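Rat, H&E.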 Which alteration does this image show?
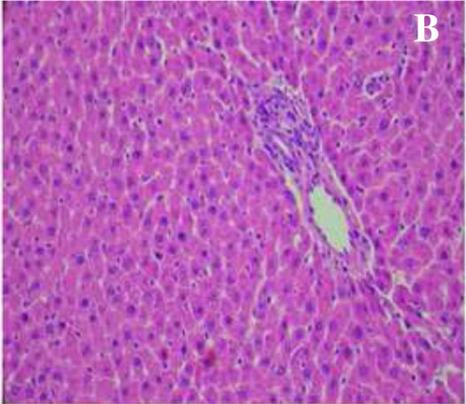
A: Lymphocyte infiltration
